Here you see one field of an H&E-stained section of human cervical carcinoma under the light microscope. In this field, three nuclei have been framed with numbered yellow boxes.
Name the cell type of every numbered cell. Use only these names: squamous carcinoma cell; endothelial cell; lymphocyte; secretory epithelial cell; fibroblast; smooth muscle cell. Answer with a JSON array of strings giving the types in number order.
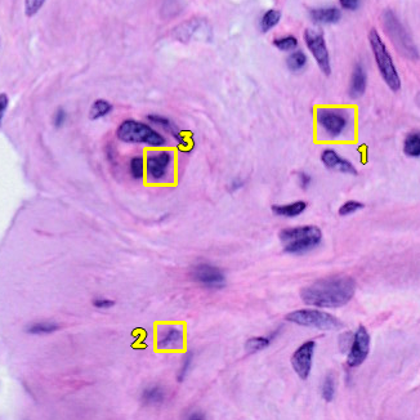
["fibroblast", "smooth muscle cell", "endothelial cell"]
